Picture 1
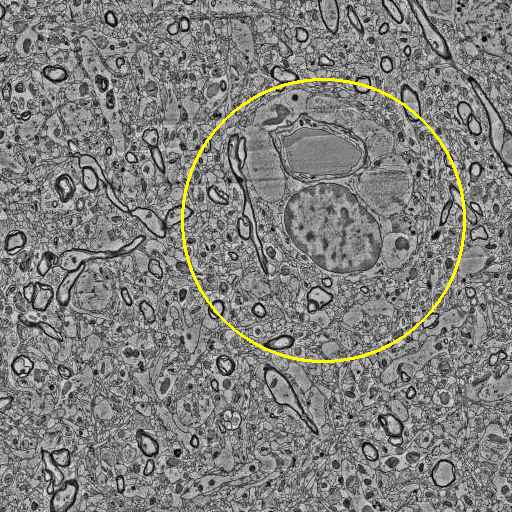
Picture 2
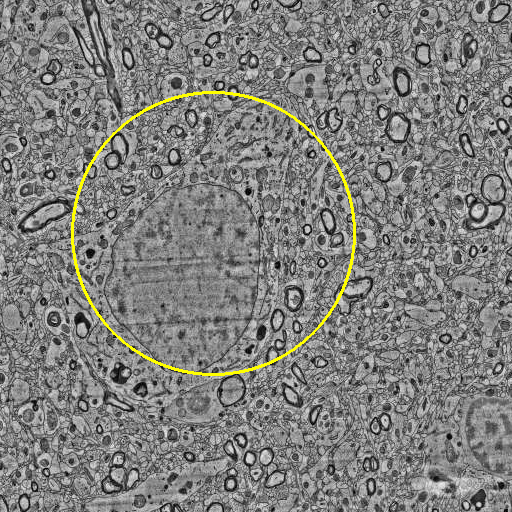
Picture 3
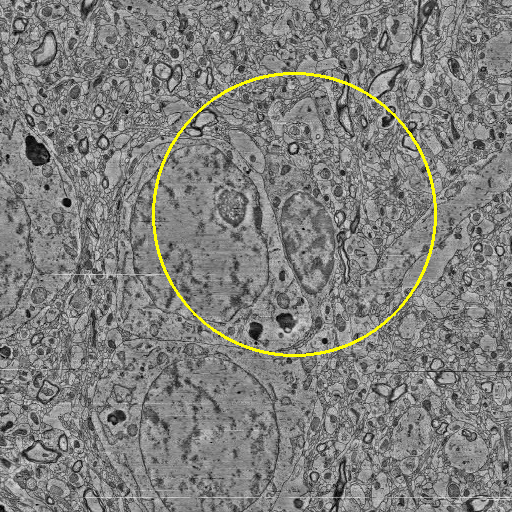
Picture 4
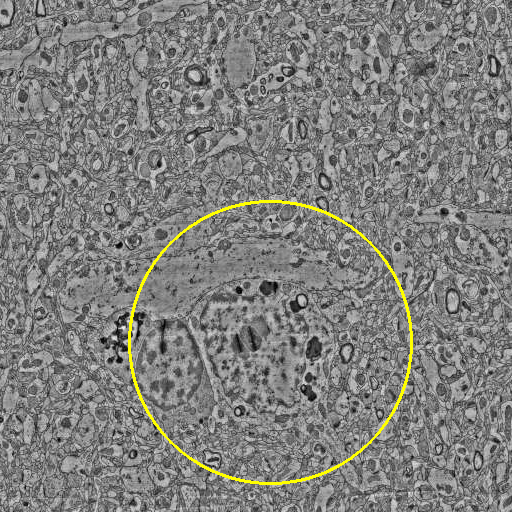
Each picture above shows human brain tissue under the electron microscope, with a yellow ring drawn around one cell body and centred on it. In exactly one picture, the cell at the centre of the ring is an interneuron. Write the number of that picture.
4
